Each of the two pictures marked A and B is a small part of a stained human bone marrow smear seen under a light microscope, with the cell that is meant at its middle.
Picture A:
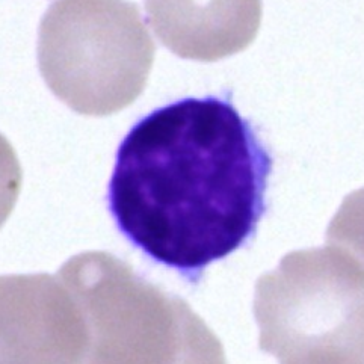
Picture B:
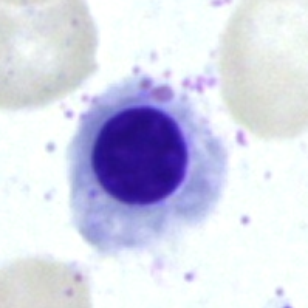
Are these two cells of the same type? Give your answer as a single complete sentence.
No, they differ: the cell is a lymphocyte in picture A and an erythroblast in picture B.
